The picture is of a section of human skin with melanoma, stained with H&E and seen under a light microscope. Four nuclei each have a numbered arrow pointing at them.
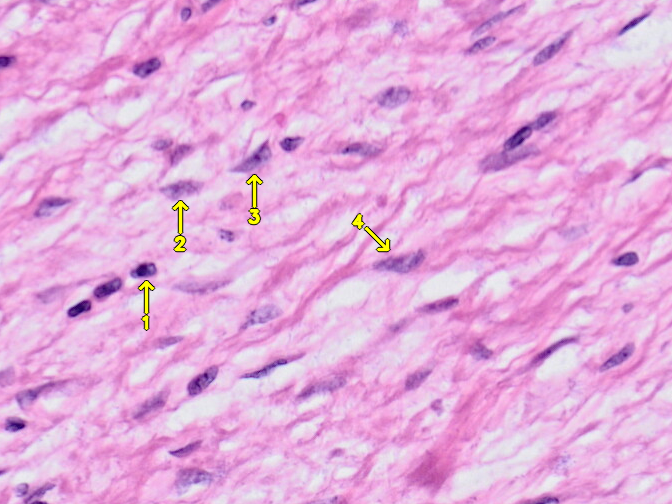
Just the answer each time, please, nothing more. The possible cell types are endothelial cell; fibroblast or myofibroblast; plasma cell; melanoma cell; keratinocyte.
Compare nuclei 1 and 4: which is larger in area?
4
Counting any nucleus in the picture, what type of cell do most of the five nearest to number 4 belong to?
fibroblast or myofibroblast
